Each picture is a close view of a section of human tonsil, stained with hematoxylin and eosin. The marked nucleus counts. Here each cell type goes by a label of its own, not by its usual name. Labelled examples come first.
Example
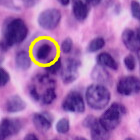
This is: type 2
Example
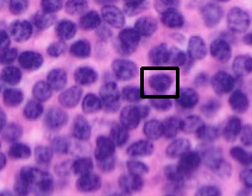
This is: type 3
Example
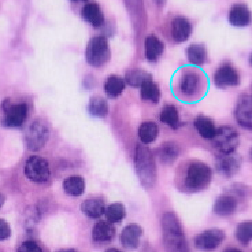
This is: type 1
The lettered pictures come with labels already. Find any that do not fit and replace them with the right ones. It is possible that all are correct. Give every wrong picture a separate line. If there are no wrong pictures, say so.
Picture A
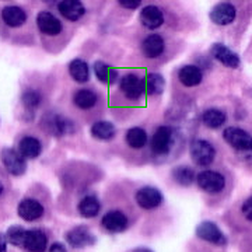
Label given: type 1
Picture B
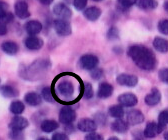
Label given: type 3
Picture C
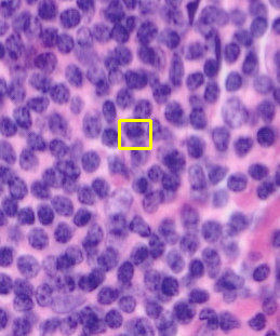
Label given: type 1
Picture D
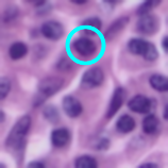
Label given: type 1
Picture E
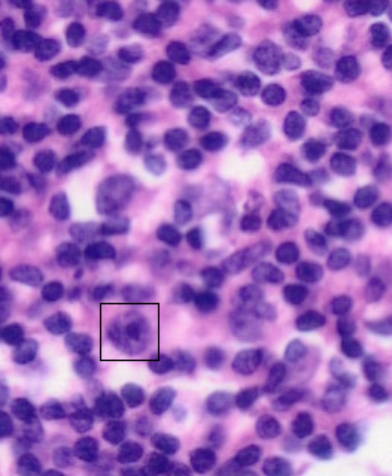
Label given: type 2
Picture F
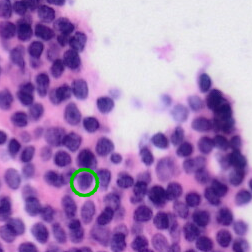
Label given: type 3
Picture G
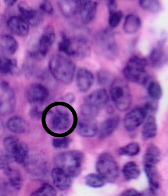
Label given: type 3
C: change type 1 to type 3
G: change type 3 to type 2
